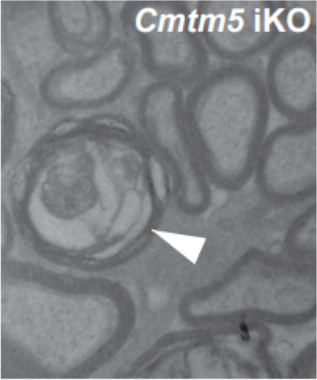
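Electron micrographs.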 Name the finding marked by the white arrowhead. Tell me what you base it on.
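A round fiber is surrounded by several concentric sheath layers. Its interior holds a shrunken, irregular inner mass instead of uniform axoplasm. The neighbouring fibers have single, even sheaths around uniform axoplasm.
Conclusion: pathological profile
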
